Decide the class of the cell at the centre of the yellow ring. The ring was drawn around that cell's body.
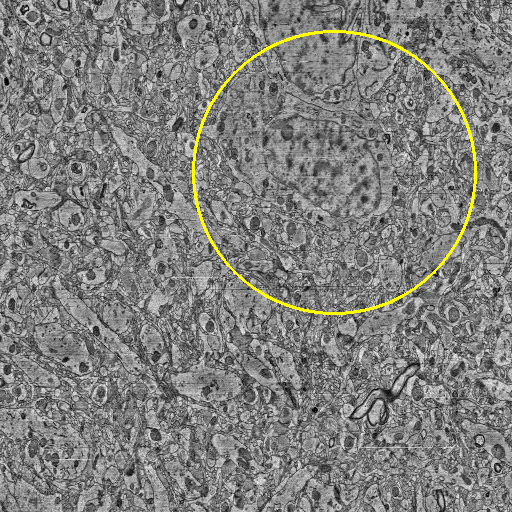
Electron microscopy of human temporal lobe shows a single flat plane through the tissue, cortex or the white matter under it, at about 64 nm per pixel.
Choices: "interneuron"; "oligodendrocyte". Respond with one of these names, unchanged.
interneuron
